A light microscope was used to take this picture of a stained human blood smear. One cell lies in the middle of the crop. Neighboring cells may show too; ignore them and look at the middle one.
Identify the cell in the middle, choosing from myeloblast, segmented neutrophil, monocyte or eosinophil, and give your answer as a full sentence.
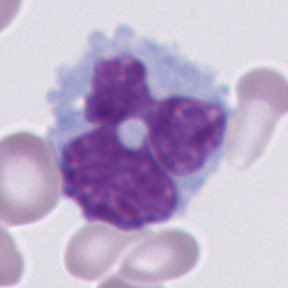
Centrally within this crop lies a monocyte.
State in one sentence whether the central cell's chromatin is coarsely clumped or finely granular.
The chromatin remains finely textured, with no coarse clumps to speak of.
